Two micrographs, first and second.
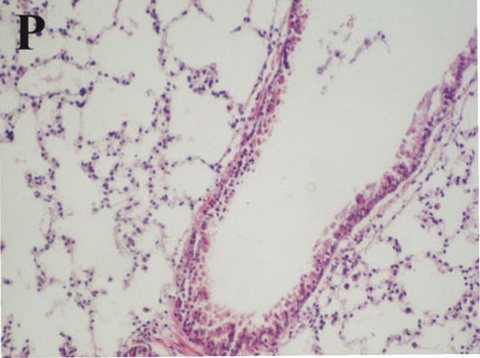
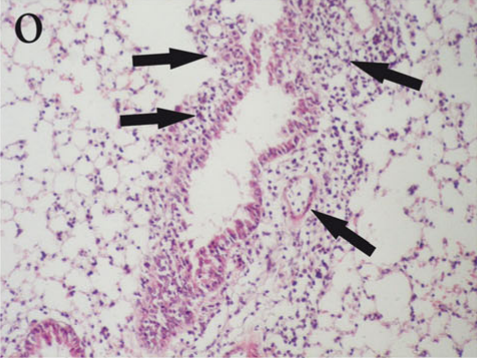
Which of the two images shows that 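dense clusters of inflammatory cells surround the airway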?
the second image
